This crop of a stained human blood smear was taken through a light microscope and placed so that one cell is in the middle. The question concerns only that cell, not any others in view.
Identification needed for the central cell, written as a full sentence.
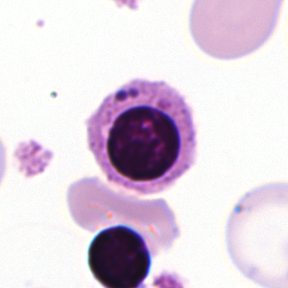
The cell occupying the middle of the crop is a normoblast.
